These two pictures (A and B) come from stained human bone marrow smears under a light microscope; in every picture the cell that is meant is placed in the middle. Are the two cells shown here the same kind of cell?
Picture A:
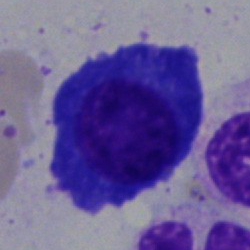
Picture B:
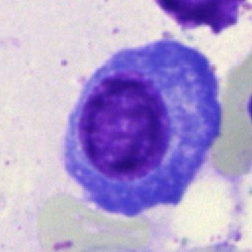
yes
